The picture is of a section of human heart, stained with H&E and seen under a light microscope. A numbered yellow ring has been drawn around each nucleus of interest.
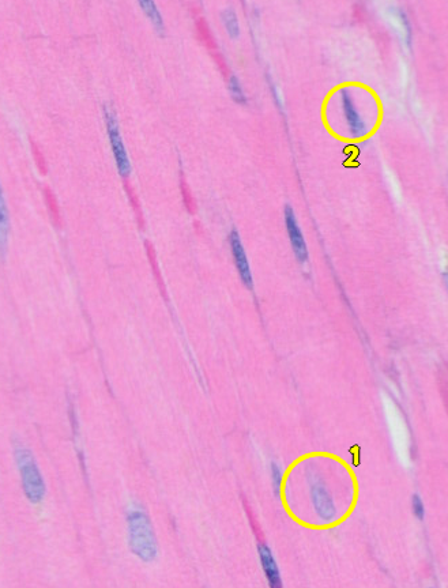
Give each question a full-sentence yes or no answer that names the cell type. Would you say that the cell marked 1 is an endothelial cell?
No, the cell under number 1 is a cardiomyocyte, not an endothelial cell.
